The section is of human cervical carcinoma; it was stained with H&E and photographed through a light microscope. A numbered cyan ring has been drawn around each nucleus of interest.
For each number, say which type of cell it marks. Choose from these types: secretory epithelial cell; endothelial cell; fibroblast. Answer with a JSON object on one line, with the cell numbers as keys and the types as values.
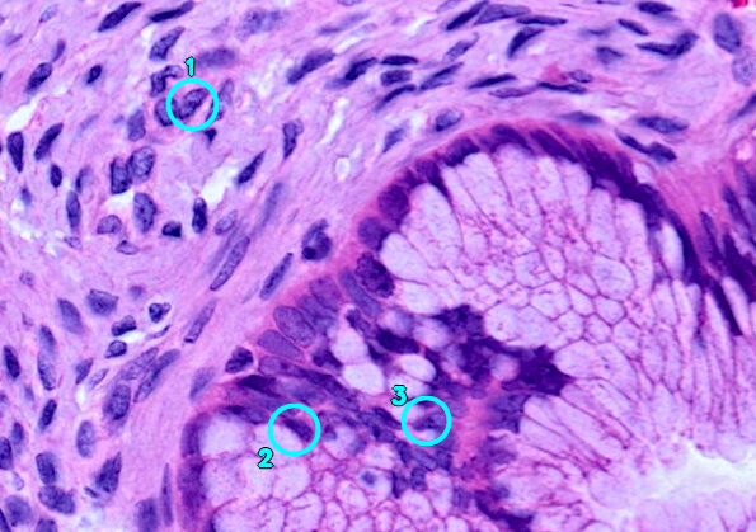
{"1": "endothelial cell", "2": "secretory epithelial cell", "3": "secretory epithelial cell"}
